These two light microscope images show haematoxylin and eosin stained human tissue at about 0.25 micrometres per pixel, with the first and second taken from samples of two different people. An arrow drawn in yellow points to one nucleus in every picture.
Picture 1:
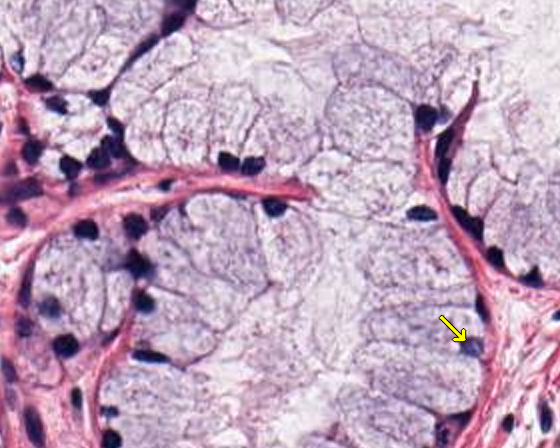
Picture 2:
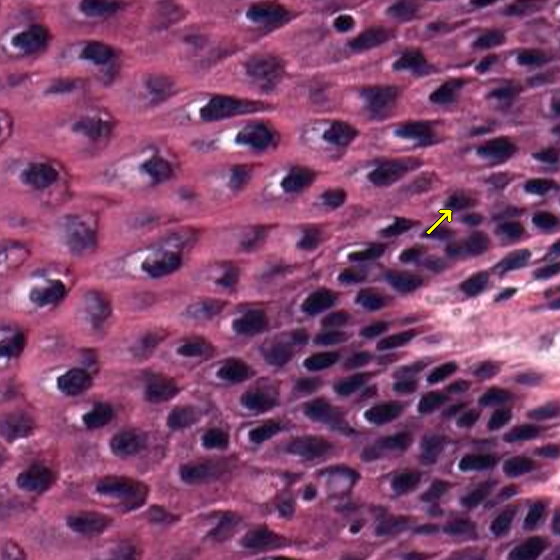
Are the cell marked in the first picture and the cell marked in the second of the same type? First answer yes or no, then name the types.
No, the first is a mucous gland cell and the second a squamous epithelial cell.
